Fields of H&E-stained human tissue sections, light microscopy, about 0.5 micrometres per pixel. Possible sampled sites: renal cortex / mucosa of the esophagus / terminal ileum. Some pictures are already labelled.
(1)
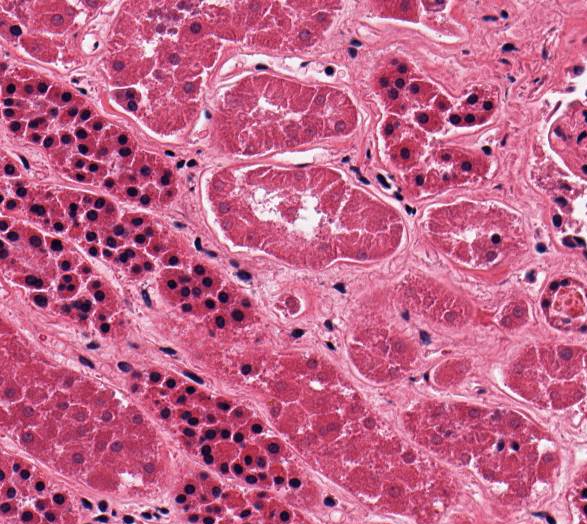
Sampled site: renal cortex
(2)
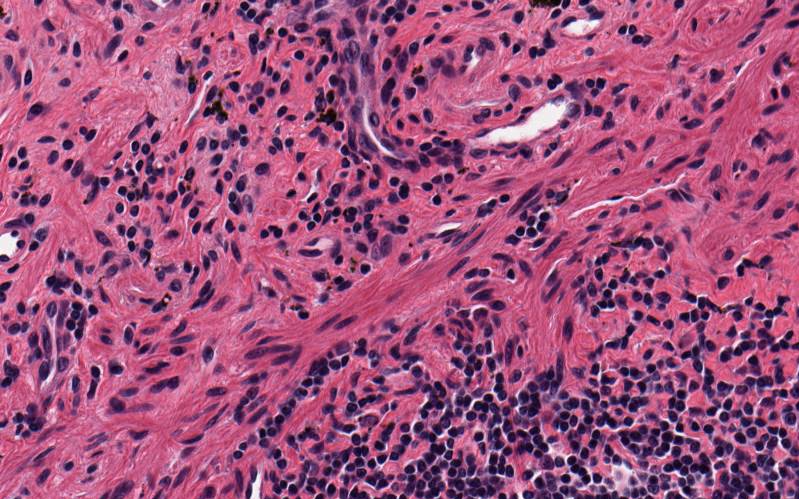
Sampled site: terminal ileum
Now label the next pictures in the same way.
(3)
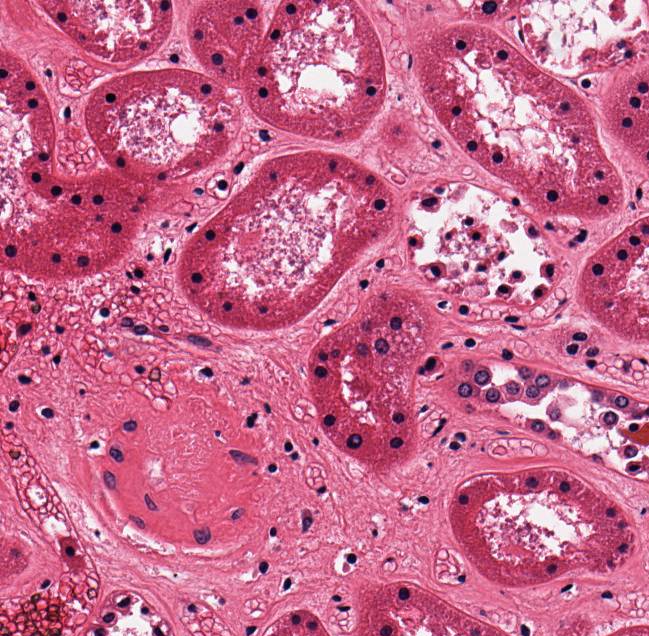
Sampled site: renal cortex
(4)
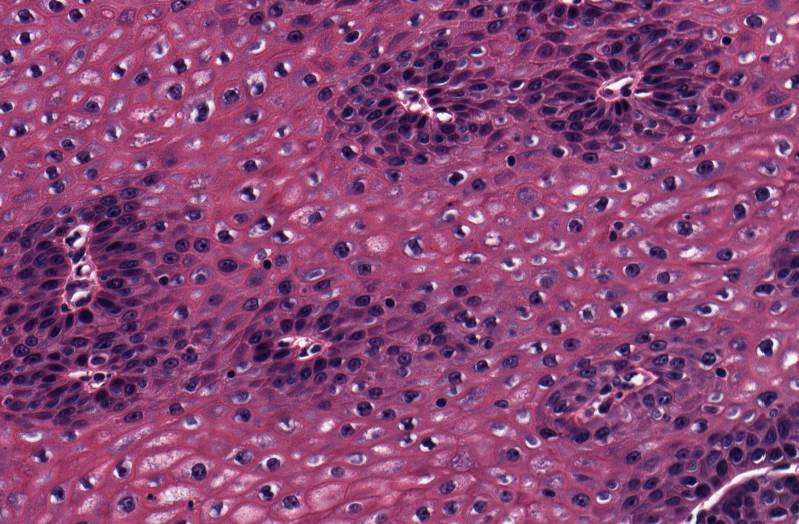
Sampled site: mucosa of the esophagus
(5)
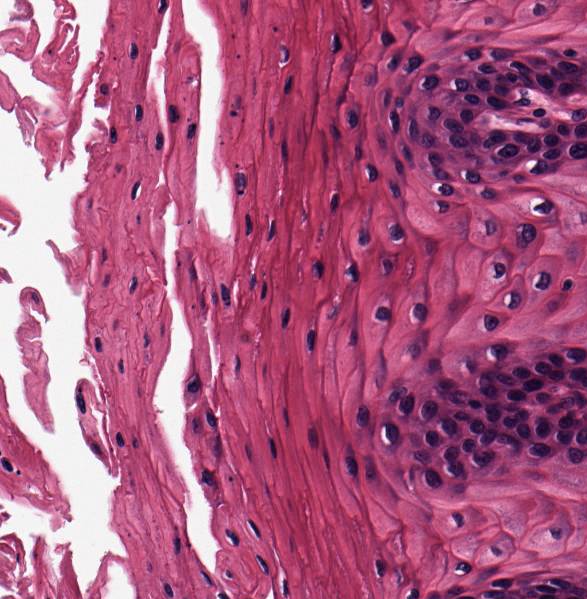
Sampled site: mucosa of the esophagus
